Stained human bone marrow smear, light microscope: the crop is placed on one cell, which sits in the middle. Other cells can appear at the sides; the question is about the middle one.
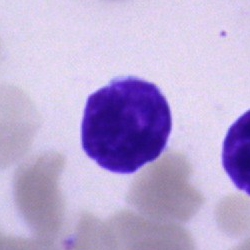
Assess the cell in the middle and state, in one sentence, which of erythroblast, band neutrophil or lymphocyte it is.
Present in the middle of the crop is a lymphocyte.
